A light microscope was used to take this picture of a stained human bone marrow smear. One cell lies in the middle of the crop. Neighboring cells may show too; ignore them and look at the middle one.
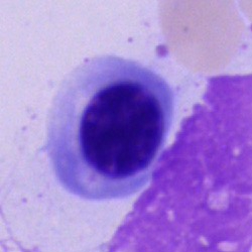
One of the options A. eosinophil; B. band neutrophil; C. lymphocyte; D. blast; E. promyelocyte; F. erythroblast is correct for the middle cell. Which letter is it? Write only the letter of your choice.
F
